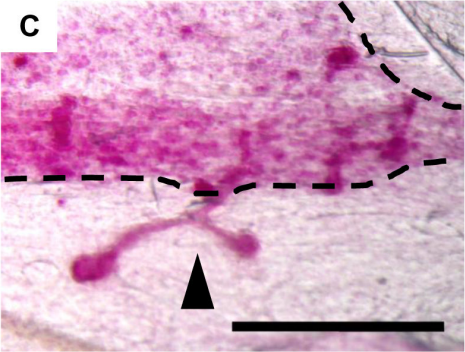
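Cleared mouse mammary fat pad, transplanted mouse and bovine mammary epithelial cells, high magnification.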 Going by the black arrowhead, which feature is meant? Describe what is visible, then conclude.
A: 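A thin branching tube extends out from the stained band below the dashed line. The tube ends in bulbous club-shaped tips.
Conclusion: Ductal protrusion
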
